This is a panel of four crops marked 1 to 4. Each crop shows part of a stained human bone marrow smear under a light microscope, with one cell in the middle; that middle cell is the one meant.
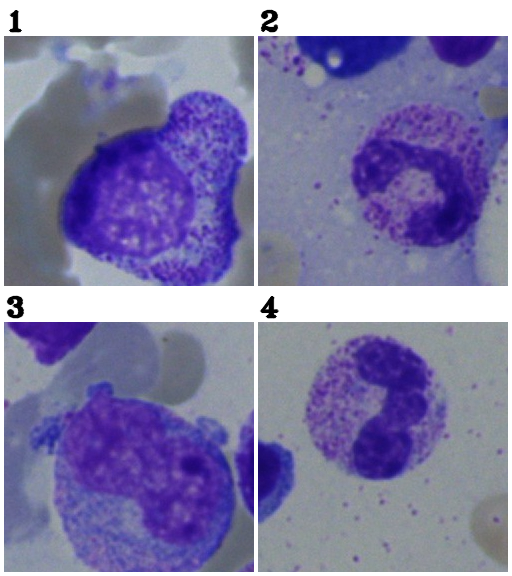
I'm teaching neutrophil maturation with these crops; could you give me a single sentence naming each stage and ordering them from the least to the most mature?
The maturity sequence, least mature to most mature, is crop 3 (a promyelocyte), crop 1 (a myelocyte), crop 4 (a band neutrophil) and crop 2 (a segmented neutrophil).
